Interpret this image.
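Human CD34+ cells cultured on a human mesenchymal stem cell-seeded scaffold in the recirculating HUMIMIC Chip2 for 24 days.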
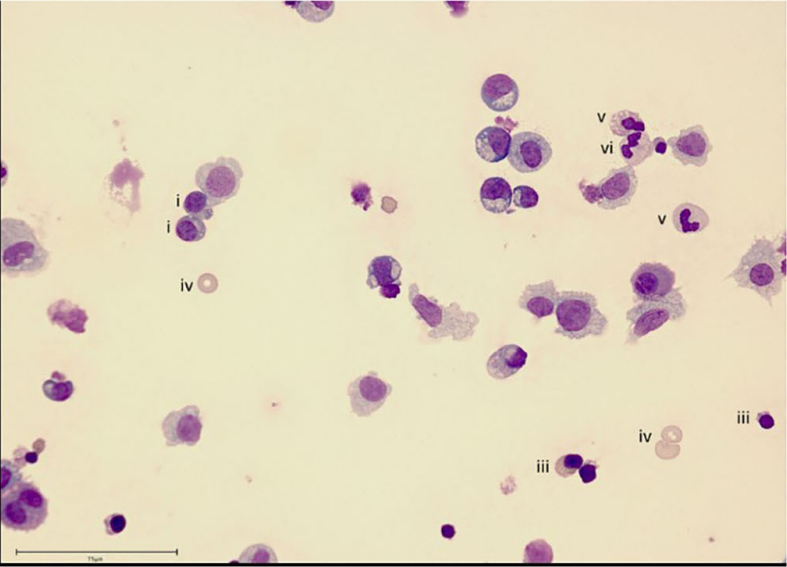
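Small cells with very dense dark nuclei and pale pink cells without nuclei mark late red cell stages, while a few cells with a curved band-shaped nucleus and one with a nucleus split into several lobes are developing granulocytes. Larger cells with pale irregular cytoplasm and oval nuclei lie between them.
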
